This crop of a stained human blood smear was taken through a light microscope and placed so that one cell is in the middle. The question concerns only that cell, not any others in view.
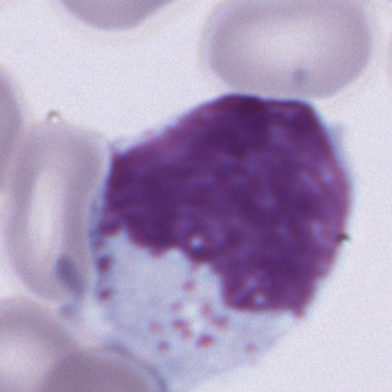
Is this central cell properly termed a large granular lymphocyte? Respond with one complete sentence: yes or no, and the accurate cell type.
Yes, the cell in the middle of the crop is a large granular lymphocyte.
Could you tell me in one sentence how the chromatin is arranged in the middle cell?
Heads up, the chromatin in this one is coarsely clumped.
